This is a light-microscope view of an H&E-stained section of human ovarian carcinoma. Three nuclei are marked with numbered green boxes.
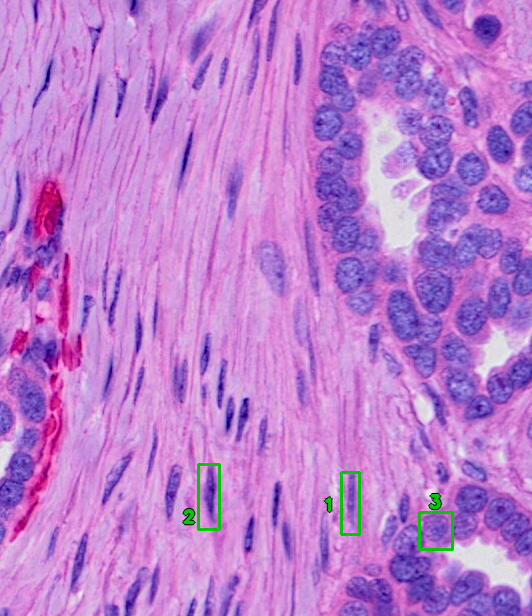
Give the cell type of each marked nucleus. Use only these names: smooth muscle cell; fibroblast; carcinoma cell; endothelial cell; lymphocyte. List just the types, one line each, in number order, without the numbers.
fibroblast
fibroblast
carcinoma cell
